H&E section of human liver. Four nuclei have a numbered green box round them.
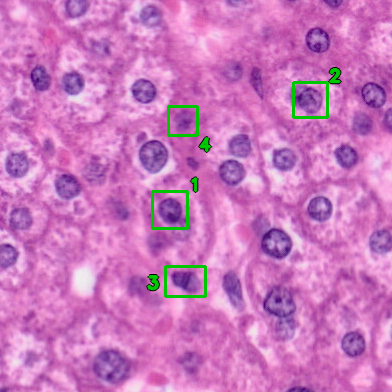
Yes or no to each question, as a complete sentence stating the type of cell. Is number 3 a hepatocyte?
No, the cell labelled number 3 is not a hepatocyte; it is an endothelial cell.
